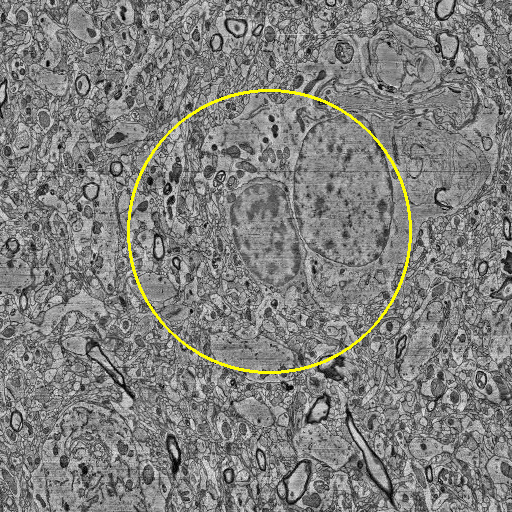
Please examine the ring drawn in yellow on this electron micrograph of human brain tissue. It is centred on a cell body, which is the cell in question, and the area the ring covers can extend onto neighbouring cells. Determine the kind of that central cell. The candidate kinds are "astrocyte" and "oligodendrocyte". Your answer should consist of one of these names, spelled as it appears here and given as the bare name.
oligodendrocyte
